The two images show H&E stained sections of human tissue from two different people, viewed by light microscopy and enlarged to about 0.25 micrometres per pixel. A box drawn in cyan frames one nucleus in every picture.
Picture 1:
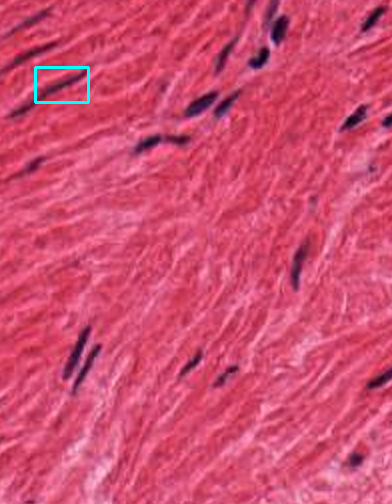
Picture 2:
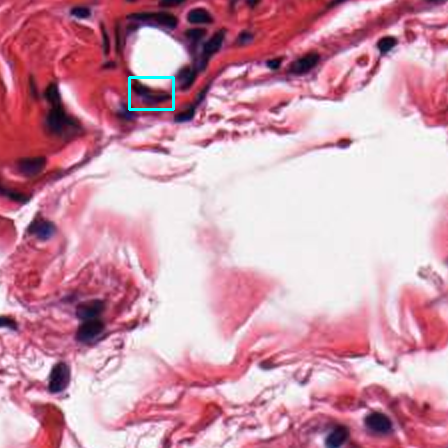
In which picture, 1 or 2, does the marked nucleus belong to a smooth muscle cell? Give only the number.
1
